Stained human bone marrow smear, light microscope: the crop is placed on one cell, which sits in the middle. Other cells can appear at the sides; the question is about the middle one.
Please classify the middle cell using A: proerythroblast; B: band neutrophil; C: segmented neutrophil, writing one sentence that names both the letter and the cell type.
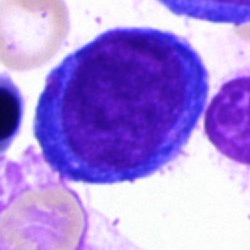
Option A correctly names the cell in the middle as a proerythroblast.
